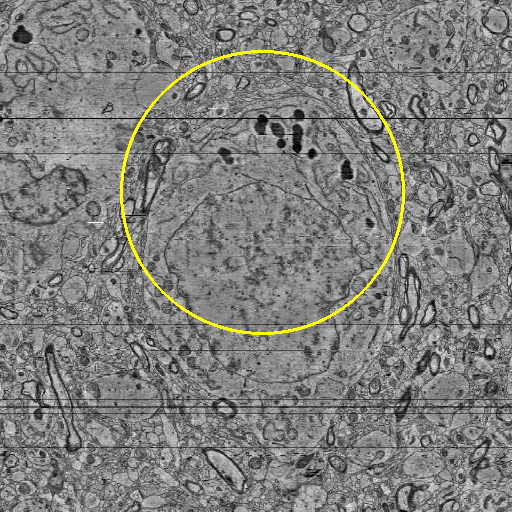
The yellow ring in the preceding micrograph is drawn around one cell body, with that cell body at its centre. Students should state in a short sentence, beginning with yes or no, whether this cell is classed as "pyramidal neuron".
Yes, this cell is of that type.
